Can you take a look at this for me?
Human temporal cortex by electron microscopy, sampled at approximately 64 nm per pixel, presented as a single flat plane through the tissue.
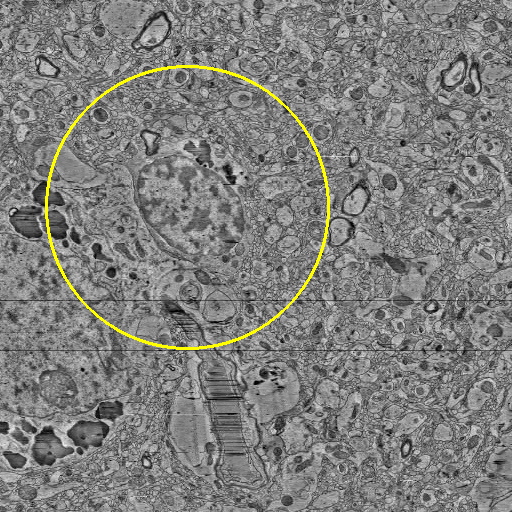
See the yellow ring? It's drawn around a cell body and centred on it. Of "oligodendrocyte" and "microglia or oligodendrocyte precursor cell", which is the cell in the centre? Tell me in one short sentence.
The one in the centre is an oligodendrocyte.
